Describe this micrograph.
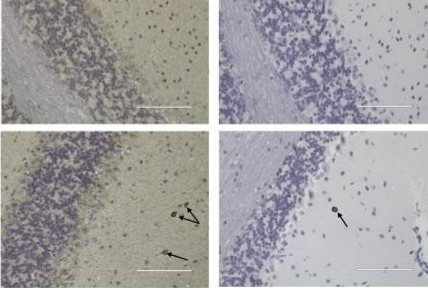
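Cerebellar cortex with a thick band of densely packed small round blue nuclei beside a paler, more sparsely nucleated layer. A few isolated small round cells stained brown lie scattered in the tissue, mostly in the paler layer next to the dense band.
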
